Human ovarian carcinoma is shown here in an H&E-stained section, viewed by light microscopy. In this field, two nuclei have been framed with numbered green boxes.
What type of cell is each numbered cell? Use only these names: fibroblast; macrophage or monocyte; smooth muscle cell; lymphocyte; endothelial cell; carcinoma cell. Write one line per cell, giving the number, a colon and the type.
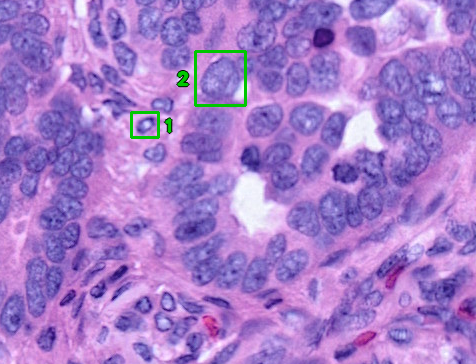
1: fibroblast
2: carcinoma cell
